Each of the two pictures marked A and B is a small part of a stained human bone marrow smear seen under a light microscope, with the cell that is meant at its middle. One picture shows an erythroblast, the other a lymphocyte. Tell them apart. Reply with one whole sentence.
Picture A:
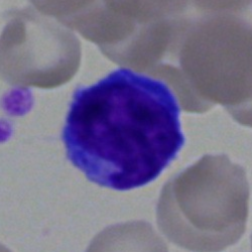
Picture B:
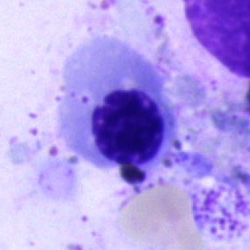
The cell in picture A is a lymphocyte, and the one in picture B is an erythroblast.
